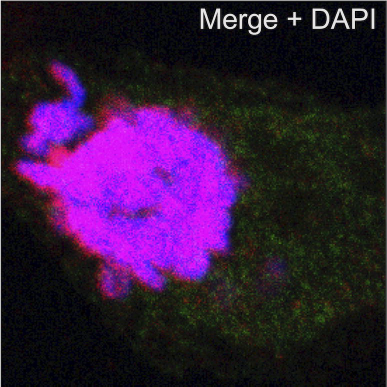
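A single cell in mitosis shows a compact, irregular mass of condensed chromosomes, with individual chromosome arms jutting from its edges. The surrounding cytoplasm shows only faint, finely scattered green dots rather than a compact perinuclear cluster.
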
